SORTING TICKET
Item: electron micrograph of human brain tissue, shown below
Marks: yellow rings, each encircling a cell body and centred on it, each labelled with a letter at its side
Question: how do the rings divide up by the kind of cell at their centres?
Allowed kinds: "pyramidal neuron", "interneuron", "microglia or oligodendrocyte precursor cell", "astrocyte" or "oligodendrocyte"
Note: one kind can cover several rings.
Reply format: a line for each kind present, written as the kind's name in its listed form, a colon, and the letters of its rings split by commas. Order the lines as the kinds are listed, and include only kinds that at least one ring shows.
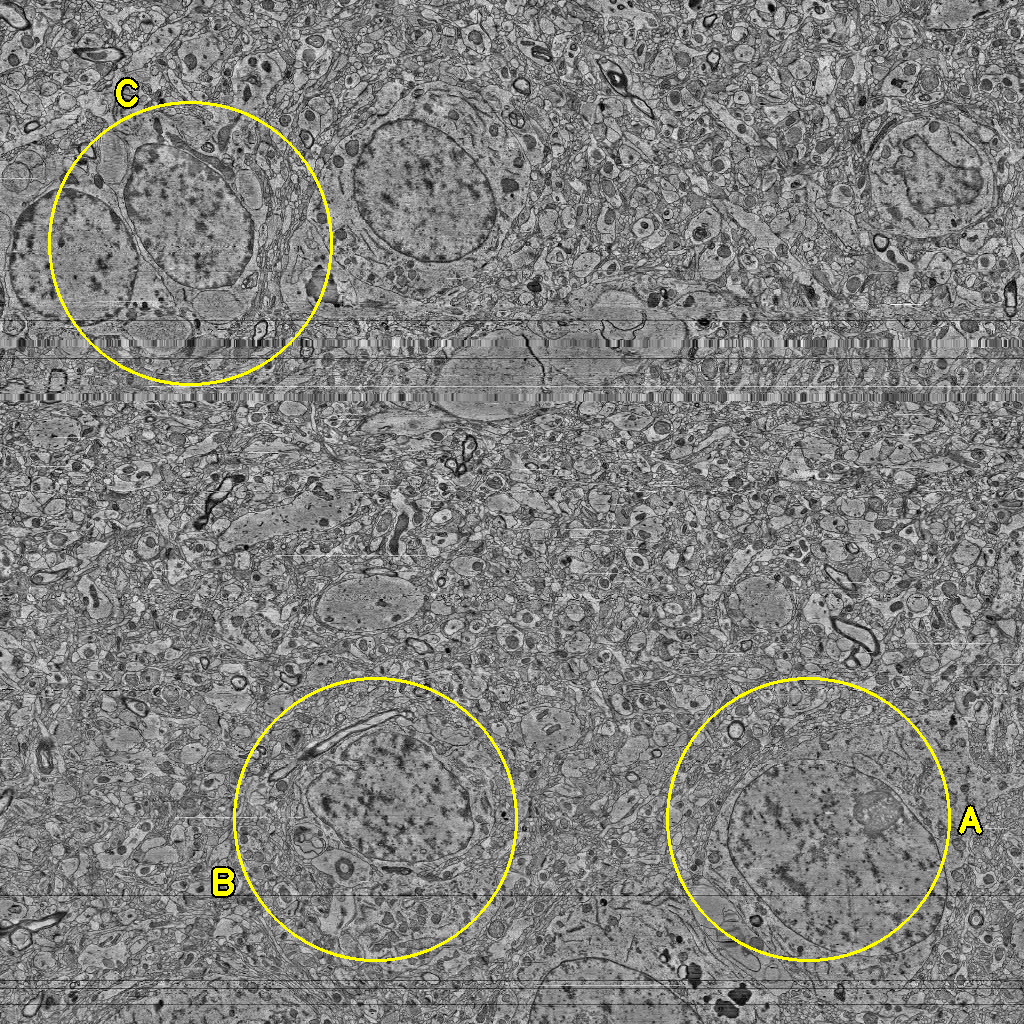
pyramidal neuron: A
interneuron: B
astrocyte: C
